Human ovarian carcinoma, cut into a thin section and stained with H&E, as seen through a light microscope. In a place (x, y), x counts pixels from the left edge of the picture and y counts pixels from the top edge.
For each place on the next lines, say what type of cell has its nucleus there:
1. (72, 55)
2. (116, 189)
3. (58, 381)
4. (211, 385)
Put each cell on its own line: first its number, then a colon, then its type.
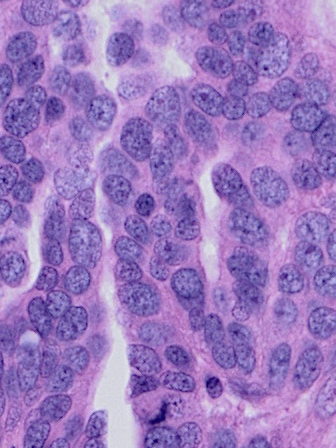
1: carcinoma cell
2: carcinoma cell
3: carcinoma cell
4: macrophage or monocyte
